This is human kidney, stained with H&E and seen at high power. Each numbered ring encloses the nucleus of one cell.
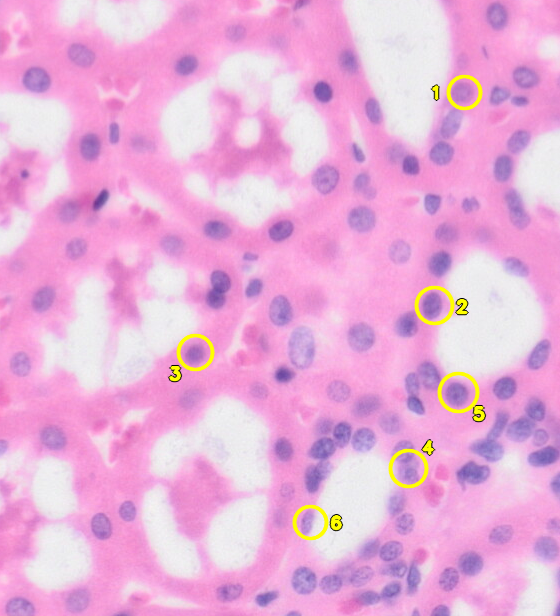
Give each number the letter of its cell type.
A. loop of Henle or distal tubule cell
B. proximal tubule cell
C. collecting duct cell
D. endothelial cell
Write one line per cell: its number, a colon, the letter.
1: A
2: A
3: B
4: C
5: A
6: C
